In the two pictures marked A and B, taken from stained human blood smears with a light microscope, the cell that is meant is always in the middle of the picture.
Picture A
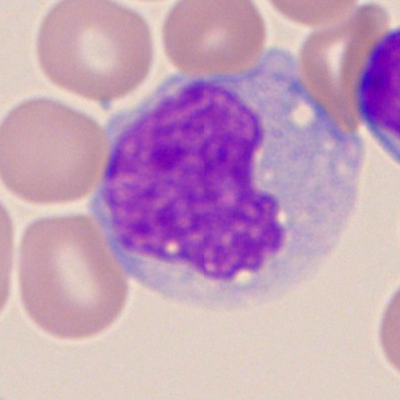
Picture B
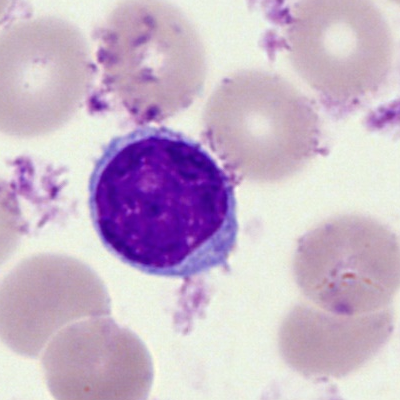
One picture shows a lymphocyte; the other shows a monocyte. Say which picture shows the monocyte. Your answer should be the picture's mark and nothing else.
A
